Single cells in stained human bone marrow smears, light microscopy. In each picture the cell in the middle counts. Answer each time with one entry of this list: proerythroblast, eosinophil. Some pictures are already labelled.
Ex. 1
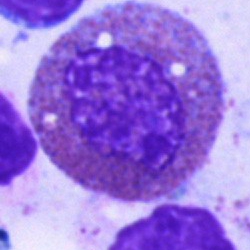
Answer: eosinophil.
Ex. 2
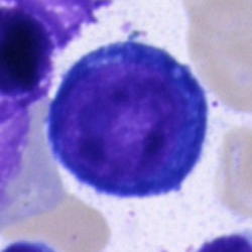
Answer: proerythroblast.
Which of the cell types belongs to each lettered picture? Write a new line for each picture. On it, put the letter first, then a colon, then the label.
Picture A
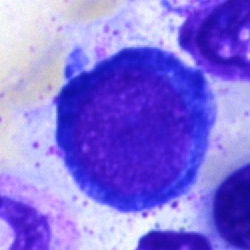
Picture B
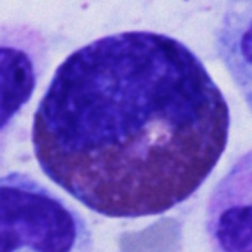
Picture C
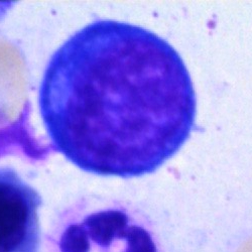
A: proerythroblast.
B: eosinophil.
C: proerythroblast.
